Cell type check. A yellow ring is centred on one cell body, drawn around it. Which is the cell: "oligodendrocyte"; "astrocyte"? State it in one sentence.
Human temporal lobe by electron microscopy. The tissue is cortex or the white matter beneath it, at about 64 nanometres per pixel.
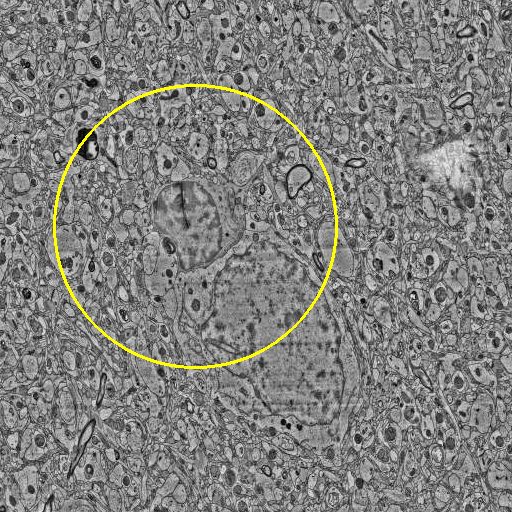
The cell body at the ring's centre belongs to an oligodendrocyte.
